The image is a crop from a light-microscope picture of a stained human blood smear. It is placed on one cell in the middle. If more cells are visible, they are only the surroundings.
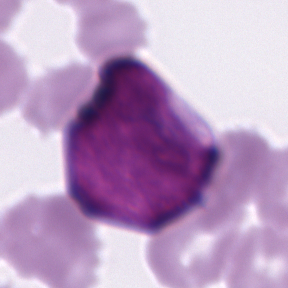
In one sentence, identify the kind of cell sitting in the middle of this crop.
This crop has a myeloblast at its centre.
